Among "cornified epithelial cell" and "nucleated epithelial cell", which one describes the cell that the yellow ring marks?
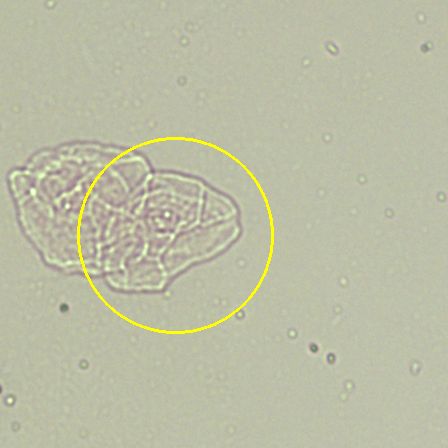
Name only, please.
cornified epithelial cell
